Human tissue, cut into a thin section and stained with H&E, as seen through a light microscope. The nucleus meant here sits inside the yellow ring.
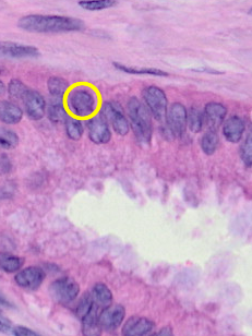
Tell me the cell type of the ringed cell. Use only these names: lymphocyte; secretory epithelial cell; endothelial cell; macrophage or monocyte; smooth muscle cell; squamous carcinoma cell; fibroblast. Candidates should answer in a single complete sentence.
Labelled by cell type, the ringed cell is a secretory epithelial cell.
